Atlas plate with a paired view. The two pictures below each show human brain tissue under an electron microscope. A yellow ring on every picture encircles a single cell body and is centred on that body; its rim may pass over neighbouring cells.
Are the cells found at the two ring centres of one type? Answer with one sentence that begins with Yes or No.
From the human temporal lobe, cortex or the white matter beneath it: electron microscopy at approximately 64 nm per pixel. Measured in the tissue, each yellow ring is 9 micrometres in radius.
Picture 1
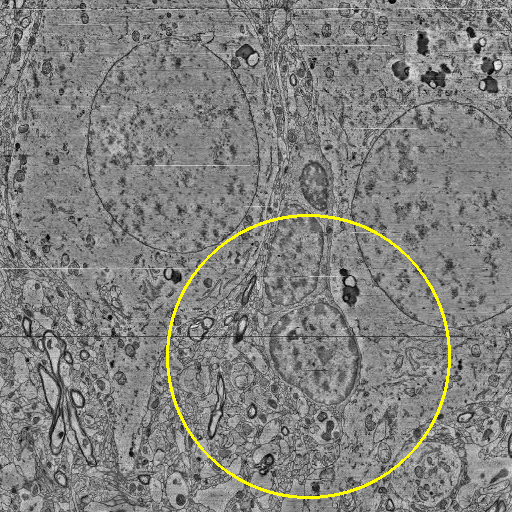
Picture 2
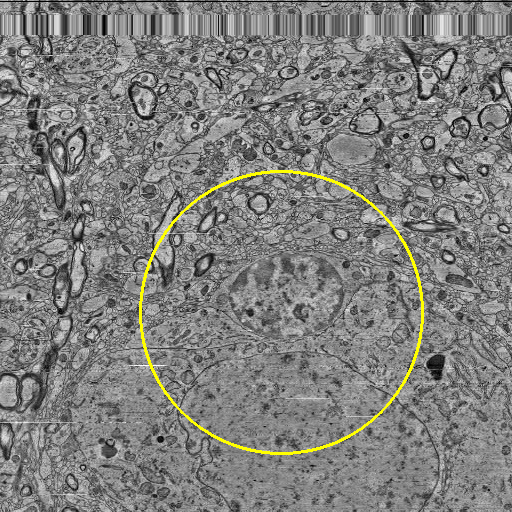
Yes, the two cells lying at the centres of the rings share a single type.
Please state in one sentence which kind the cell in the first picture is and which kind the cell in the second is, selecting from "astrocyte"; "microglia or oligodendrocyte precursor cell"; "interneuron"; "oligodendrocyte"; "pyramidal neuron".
The first and the second cell are each an oligodendrocyte.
